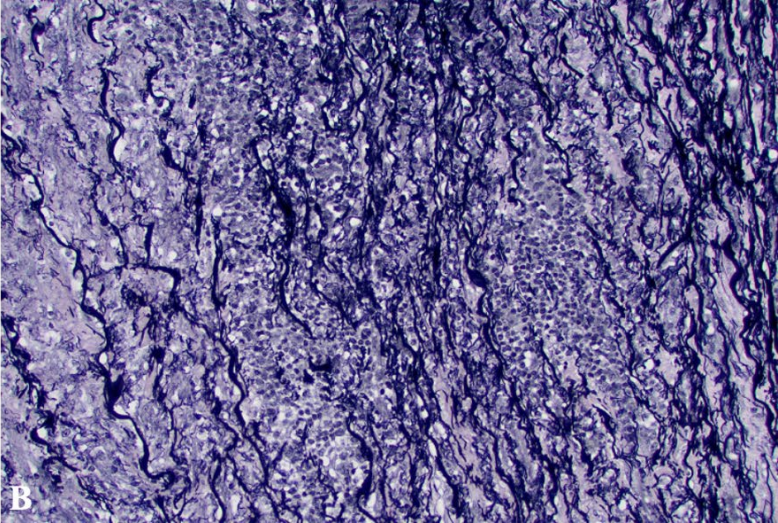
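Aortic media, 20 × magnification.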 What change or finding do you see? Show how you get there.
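The fibers do not form continuous, orderly parallel lamellae. Clusters of cells fill the gaps between the disrupted black fibers.
Answer: destruction of elastic fibers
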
